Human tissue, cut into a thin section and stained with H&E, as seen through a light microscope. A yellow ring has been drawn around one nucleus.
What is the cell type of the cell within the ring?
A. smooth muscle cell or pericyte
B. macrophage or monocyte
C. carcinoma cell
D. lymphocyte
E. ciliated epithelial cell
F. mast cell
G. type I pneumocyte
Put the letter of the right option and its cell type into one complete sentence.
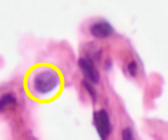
It is option G that is correct, the cell within the ring being a type I pneumocyte.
